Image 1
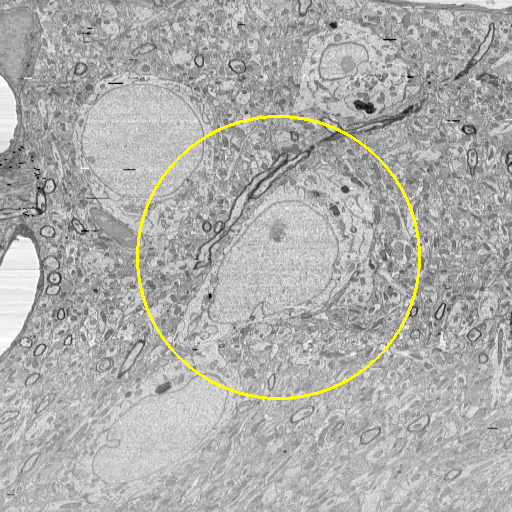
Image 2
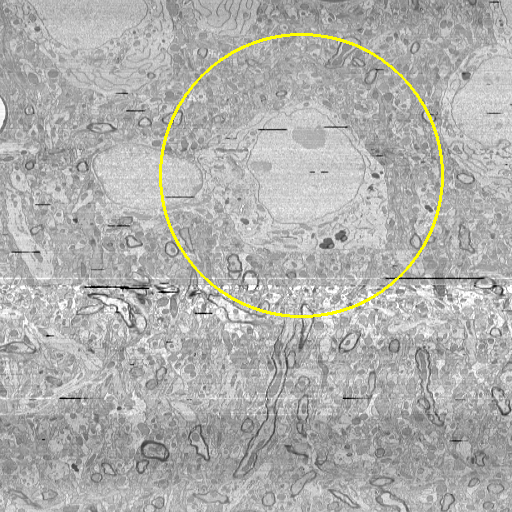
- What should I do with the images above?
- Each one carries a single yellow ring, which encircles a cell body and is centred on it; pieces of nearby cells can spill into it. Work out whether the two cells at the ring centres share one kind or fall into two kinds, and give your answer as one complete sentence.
The ring-centre cells of Image 1 and Image 2 fall into two kinds.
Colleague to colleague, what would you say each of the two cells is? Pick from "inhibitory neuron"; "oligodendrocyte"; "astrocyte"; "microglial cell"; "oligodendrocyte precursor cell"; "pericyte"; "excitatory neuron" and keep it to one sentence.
The cell in the first picture is an inhibitory neuron; the second picture's cell is an excitatory neuron.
